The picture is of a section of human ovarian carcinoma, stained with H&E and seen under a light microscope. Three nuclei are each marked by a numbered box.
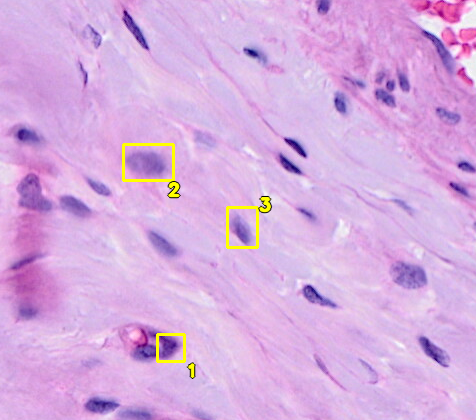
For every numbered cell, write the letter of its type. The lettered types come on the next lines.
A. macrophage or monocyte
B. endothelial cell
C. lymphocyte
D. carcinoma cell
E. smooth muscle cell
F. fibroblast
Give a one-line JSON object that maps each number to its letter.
{"1": "B", "2": "F", "3": "F"}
